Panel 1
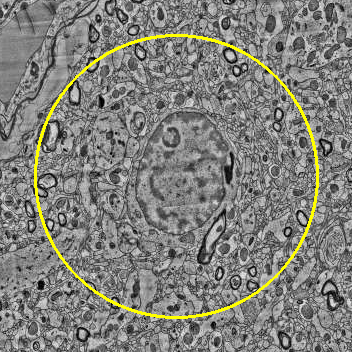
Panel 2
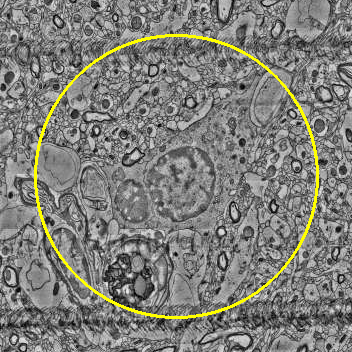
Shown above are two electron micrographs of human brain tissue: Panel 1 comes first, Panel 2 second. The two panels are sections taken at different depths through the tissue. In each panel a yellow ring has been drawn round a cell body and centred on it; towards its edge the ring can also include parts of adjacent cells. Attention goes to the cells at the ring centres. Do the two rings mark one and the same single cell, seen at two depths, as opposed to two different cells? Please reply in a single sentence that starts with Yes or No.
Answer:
No, in this micrograph the two rings mark two different cells.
